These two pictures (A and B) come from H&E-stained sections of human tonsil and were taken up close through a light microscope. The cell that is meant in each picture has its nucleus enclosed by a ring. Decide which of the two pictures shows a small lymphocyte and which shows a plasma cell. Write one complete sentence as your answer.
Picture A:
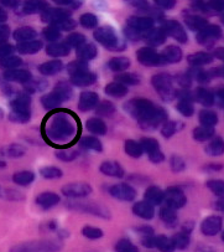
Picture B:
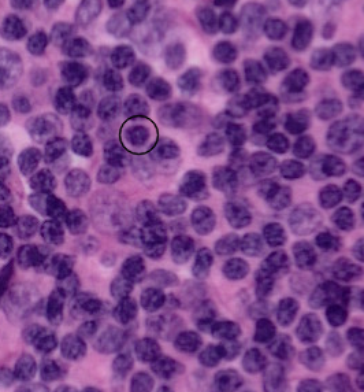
Picture A shows a plasma cell and picture B shows a small lymphocyte.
